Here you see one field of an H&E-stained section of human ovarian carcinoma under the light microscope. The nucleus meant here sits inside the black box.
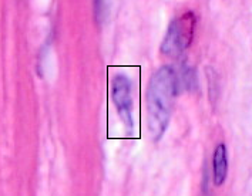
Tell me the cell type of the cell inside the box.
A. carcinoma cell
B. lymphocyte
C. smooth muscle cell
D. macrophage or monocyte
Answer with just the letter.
D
